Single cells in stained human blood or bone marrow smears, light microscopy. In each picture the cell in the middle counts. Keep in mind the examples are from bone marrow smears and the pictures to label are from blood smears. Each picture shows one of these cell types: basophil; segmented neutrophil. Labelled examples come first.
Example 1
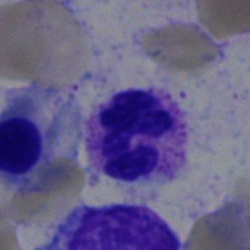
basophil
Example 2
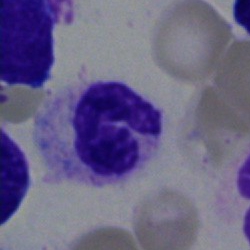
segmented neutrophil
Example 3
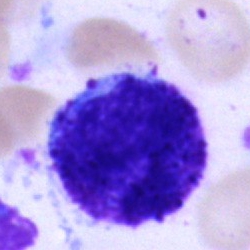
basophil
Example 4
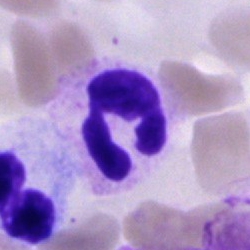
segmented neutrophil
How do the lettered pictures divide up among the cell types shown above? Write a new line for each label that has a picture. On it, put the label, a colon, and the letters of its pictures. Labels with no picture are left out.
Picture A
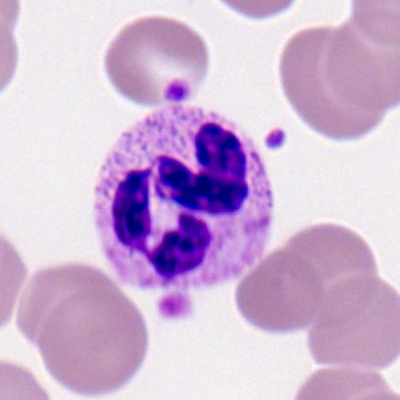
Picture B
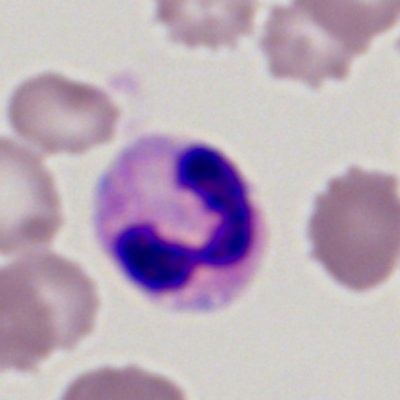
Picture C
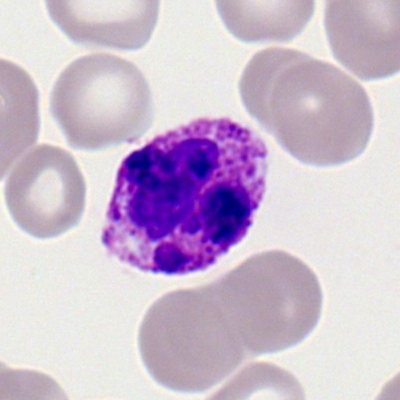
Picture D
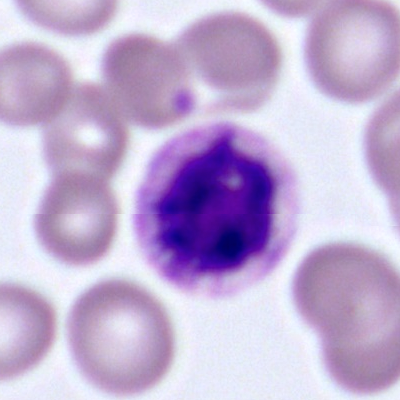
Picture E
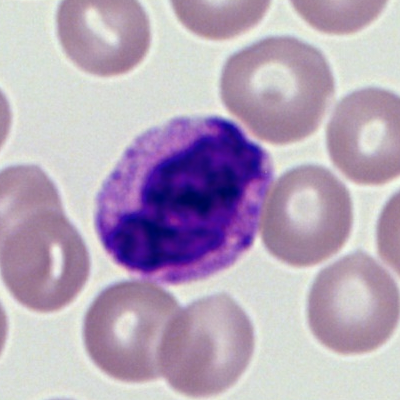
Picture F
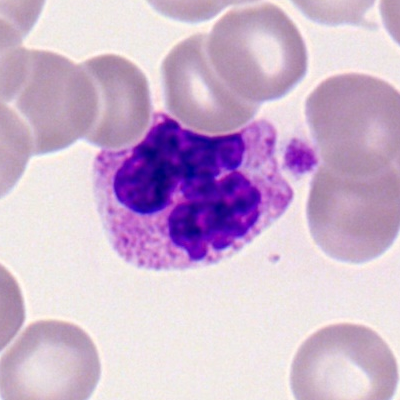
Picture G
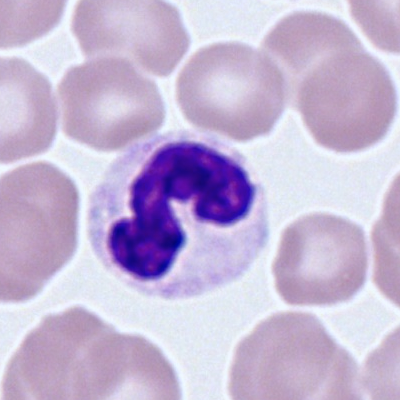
basophil: C, D, E, F
segmented neutrophil: A, B, G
